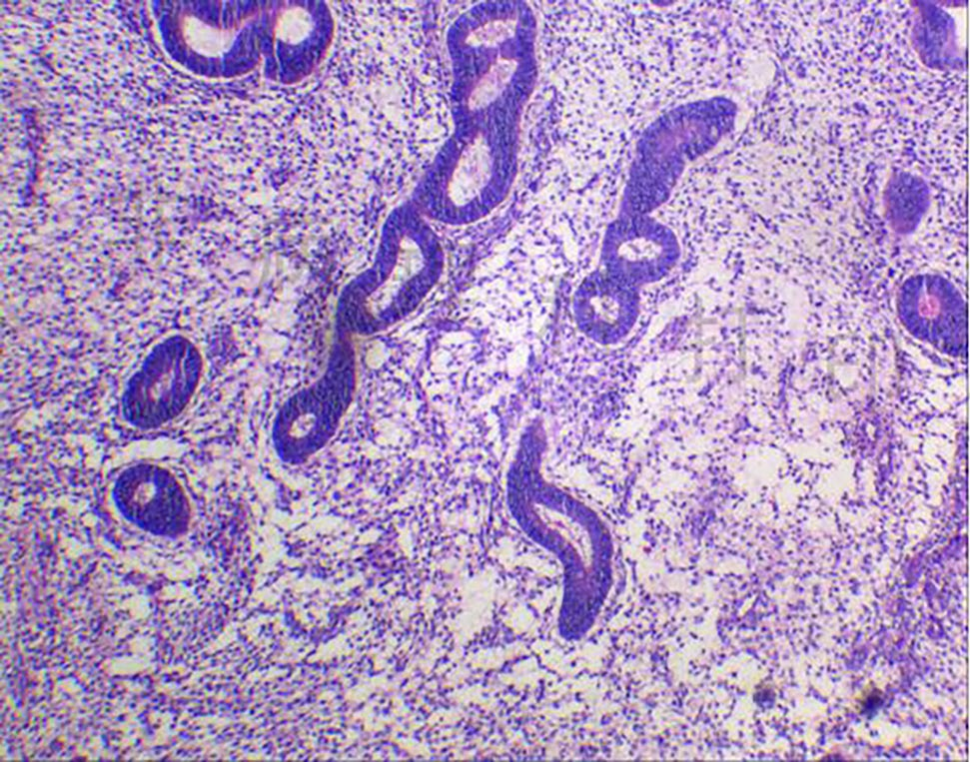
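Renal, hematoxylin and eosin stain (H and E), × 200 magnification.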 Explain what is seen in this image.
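This field shows endometrial glands lying in a cellular stroma. The glands are tubular, some curved or branching, and are lined by a single layer of tall columnar cells whose elongated dark purple nuclei are crowded along the gland wall around an open lumen.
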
